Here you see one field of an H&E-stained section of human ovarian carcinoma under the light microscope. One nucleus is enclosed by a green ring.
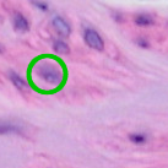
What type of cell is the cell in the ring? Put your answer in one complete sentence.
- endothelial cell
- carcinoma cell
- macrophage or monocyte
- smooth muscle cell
At the level of cell identity, the cell in the ring is a smooth muscle cell.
